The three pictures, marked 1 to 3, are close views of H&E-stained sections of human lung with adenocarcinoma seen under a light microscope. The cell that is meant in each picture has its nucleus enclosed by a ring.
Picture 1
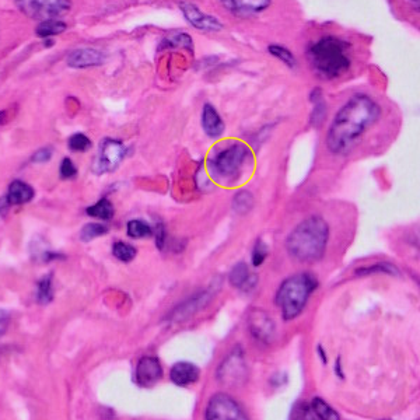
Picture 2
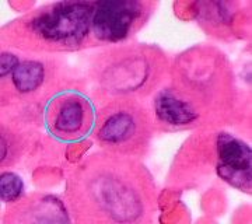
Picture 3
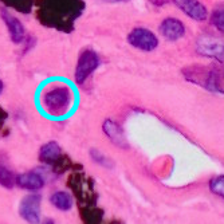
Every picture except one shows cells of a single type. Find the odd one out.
2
